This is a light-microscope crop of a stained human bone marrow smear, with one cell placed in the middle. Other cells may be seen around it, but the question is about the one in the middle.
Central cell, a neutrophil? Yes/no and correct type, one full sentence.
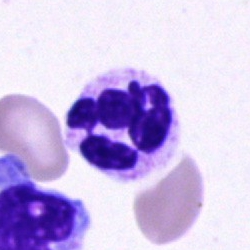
Yes, the cell shown in the middle is a neutrophil.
